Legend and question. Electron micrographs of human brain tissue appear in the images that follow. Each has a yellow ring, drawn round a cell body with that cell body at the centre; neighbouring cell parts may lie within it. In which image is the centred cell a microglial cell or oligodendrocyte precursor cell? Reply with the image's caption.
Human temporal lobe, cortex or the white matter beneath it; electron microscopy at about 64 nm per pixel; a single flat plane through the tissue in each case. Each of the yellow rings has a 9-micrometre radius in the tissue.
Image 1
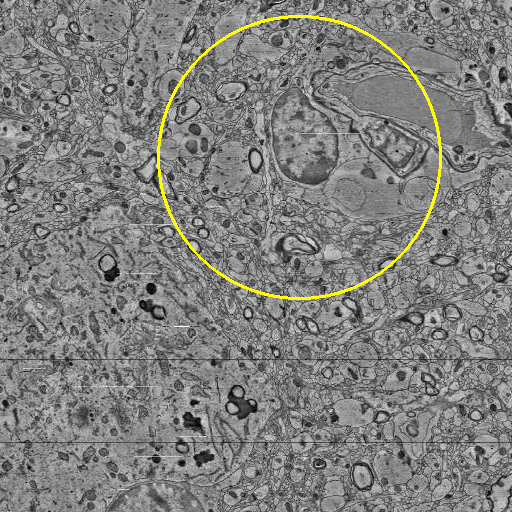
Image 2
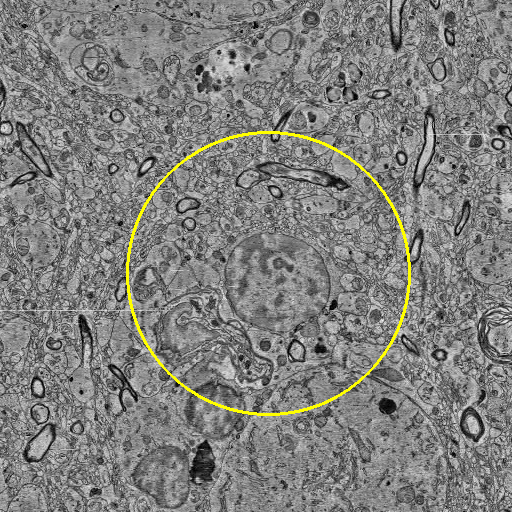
Image 1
